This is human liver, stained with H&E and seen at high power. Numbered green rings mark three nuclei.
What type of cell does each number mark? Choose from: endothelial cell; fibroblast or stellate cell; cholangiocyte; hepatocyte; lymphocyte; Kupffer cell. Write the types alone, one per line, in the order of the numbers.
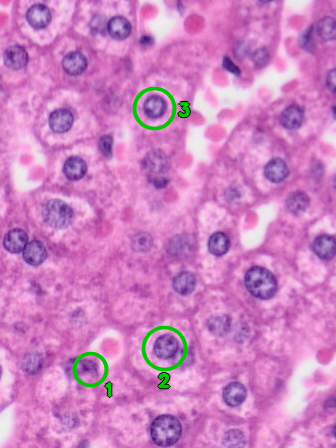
Kupffer cell
hepatocyte
hepatocyte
